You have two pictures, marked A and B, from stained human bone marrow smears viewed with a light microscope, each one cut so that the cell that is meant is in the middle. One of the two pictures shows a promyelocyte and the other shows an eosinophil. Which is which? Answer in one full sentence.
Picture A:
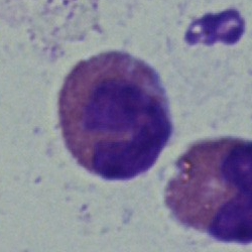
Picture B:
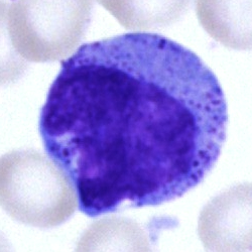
Picture A shows an eosinophil and picture B shows a promyelocyte.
